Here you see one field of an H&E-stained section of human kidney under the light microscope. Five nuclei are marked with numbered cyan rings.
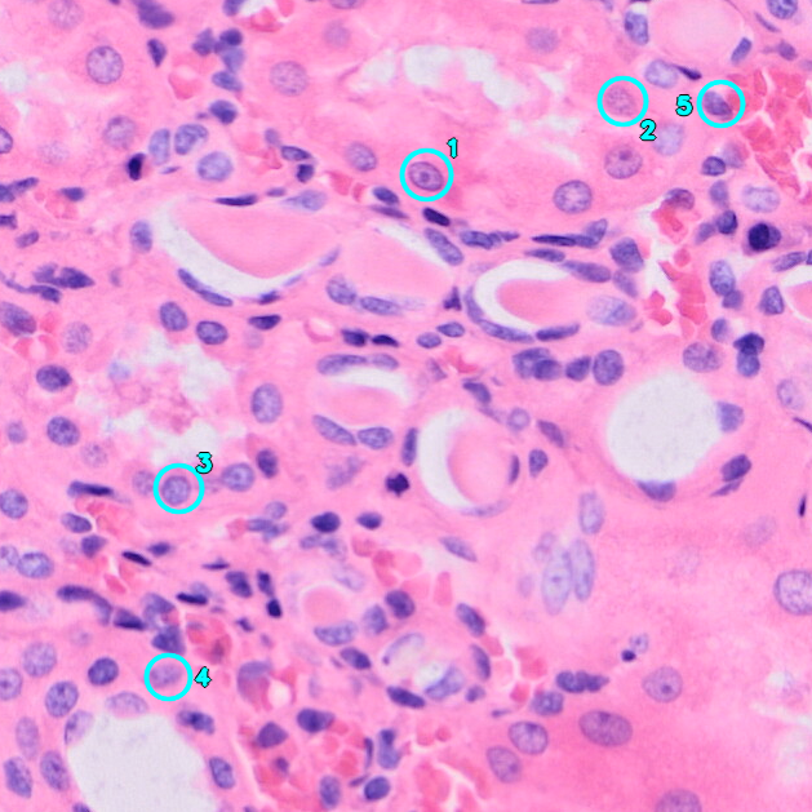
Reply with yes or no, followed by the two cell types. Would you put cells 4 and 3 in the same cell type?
Yes, along with cell 4, cell 3 is also among the loop of Henle or distal tubule cells.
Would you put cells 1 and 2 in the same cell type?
Yes, note that cells 1 and 2 are both proximal tubule cells.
